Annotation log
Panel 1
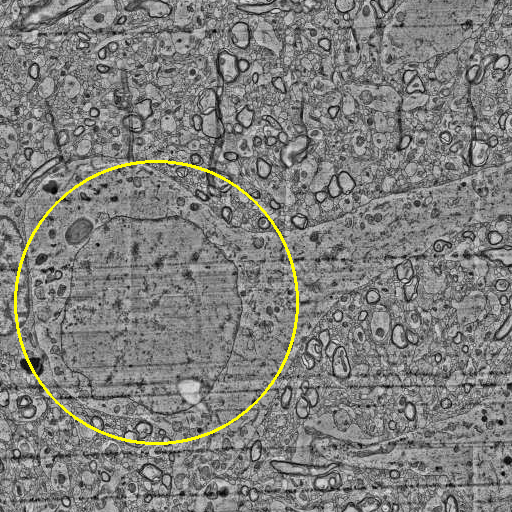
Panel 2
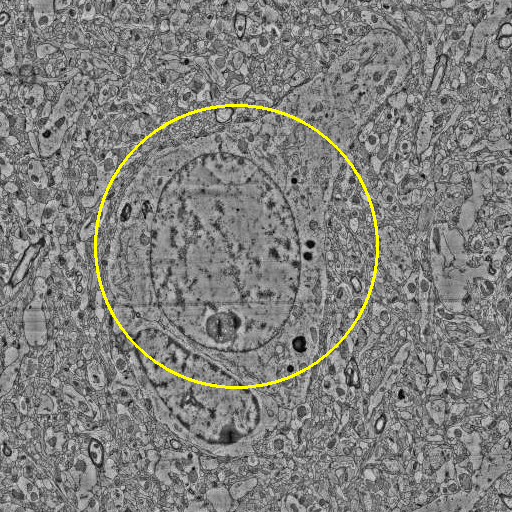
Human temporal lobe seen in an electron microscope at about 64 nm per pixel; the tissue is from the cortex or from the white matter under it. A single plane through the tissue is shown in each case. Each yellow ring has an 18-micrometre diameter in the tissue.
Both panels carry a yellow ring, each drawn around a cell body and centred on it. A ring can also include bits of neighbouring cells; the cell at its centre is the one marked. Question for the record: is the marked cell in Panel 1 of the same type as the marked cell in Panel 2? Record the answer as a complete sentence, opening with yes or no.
Yes, the marked cells in Panel 1 and Panel 2 are of the same type.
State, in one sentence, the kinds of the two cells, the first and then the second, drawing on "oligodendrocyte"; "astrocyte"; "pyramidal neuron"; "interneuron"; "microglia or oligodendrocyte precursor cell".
Each of the two cells is a pyramidal neuron.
